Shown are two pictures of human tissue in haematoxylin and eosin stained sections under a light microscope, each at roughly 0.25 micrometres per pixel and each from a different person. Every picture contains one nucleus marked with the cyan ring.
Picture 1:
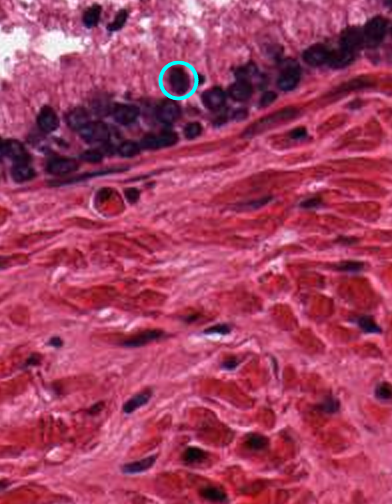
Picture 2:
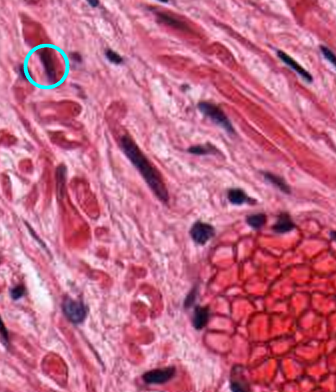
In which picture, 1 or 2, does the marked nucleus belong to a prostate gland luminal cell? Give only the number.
1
